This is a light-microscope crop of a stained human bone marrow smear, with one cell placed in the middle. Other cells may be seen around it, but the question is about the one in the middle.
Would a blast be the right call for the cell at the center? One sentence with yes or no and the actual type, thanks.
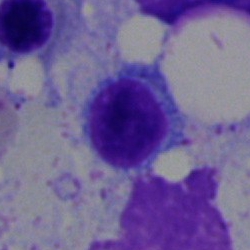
No, the cell in the centre is to be called an erythroblast instead of a blast.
